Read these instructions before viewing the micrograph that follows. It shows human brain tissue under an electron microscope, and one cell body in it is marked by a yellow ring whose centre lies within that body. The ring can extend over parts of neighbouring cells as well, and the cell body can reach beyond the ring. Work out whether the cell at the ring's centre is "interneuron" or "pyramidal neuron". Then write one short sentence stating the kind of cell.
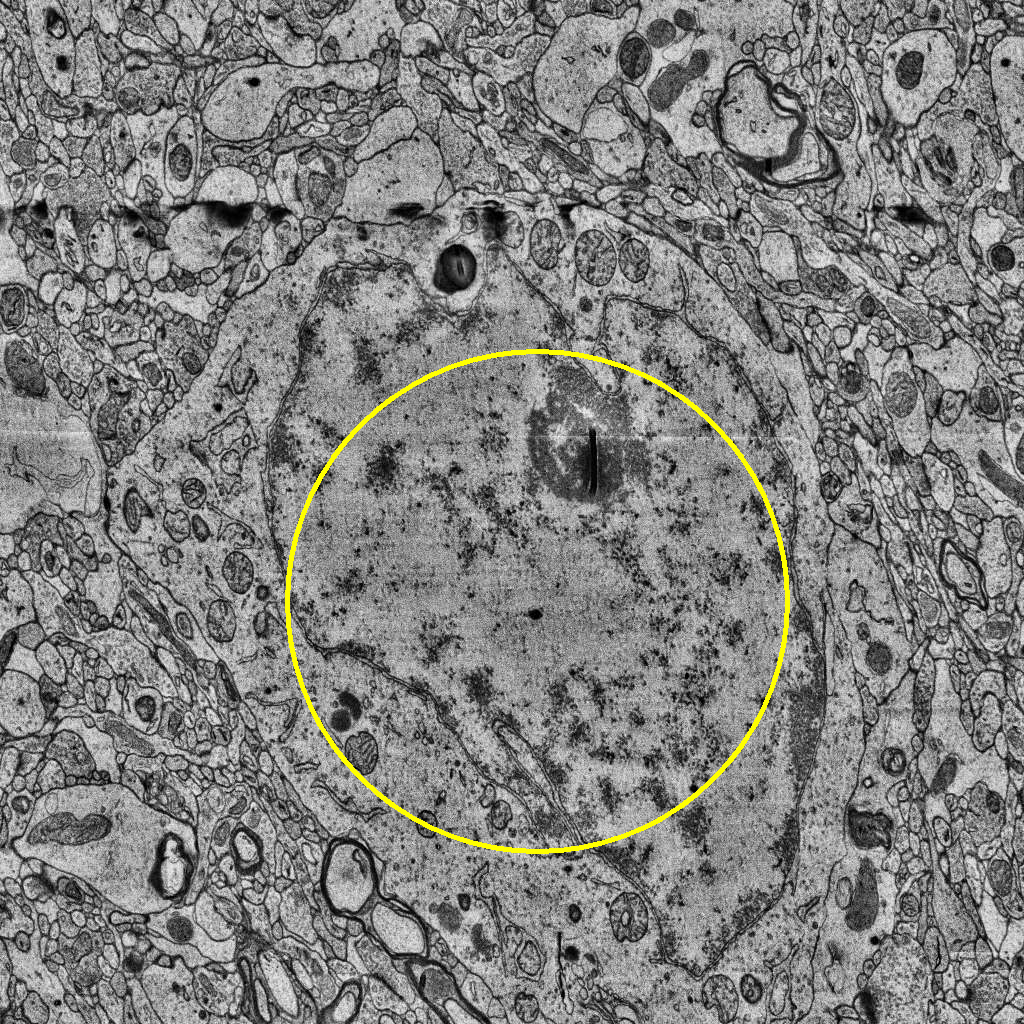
The cell at the ring's centre is an interneuron.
